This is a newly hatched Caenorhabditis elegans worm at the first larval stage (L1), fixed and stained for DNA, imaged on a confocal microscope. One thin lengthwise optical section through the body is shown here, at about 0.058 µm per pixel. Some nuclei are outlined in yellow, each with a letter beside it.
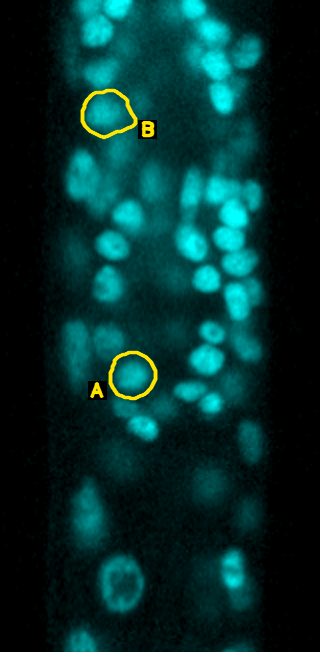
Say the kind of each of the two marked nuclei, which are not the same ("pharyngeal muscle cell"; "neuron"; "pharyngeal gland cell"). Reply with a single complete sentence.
The nucleus A is that of a pharyngeal gland cell, while B is that of a neuron.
